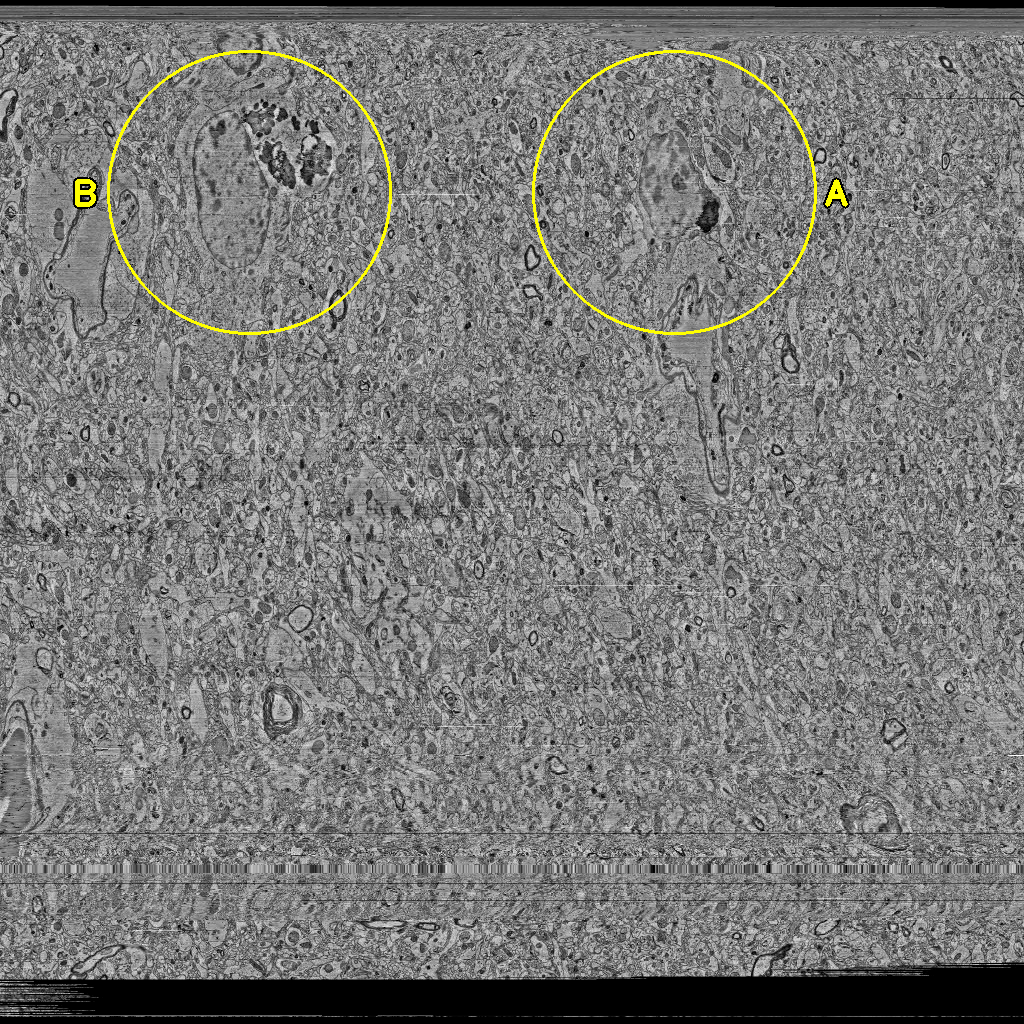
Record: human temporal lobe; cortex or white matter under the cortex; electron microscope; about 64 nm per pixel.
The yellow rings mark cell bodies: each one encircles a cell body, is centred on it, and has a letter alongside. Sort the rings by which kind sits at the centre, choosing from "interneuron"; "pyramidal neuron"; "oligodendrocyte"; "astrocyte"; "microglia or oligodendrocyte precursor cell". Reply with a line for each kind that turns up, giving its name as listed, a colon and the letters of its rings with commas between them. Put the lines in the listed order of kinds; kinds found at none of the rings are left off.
oligodendrocyte: A
astrocyte: B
